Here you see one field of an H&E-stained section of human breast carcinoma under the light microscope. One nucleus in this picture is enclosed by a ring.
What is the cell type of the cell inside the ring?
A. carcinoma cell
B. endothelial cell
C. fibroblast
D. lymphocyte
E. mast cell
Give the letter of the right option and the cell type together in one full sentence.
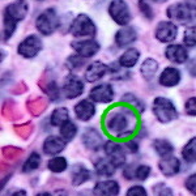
The choice that fits is option D, as the cell inside the ring is a lymphocyte.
